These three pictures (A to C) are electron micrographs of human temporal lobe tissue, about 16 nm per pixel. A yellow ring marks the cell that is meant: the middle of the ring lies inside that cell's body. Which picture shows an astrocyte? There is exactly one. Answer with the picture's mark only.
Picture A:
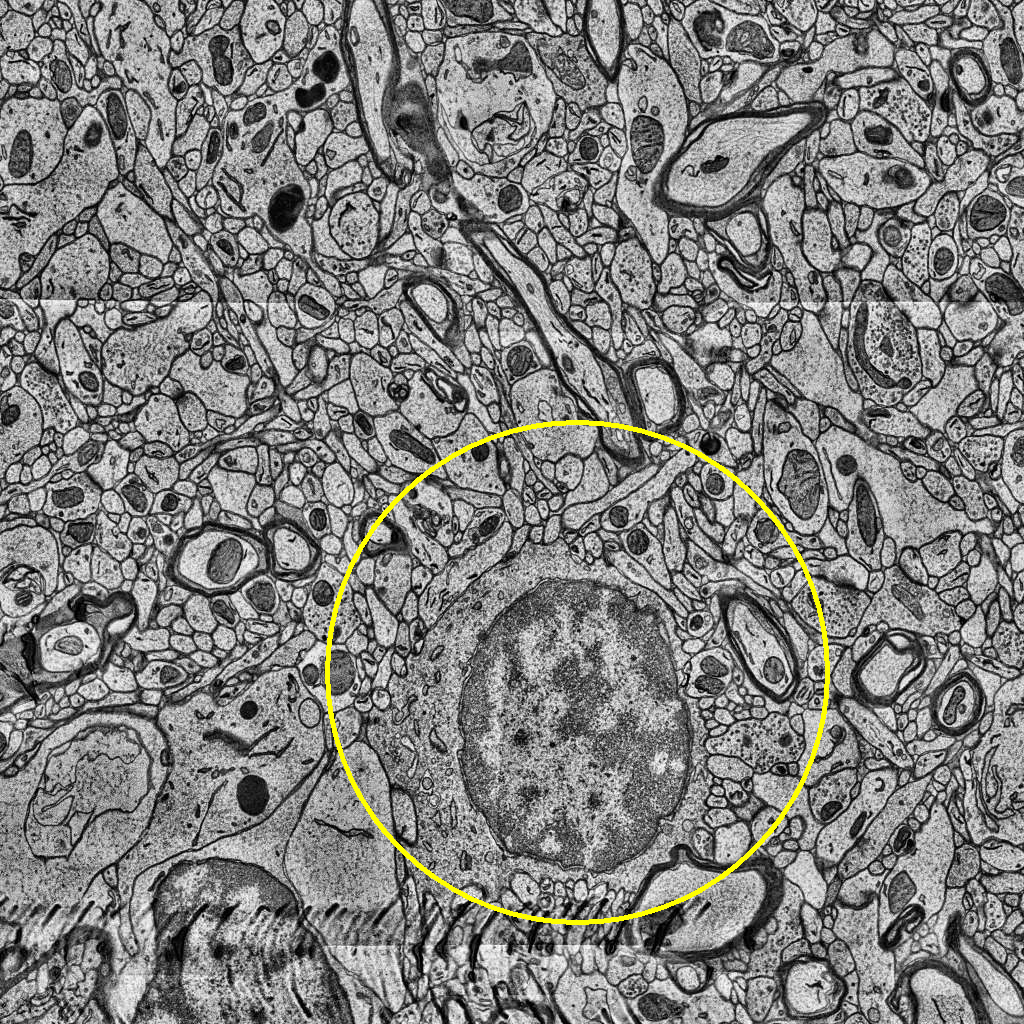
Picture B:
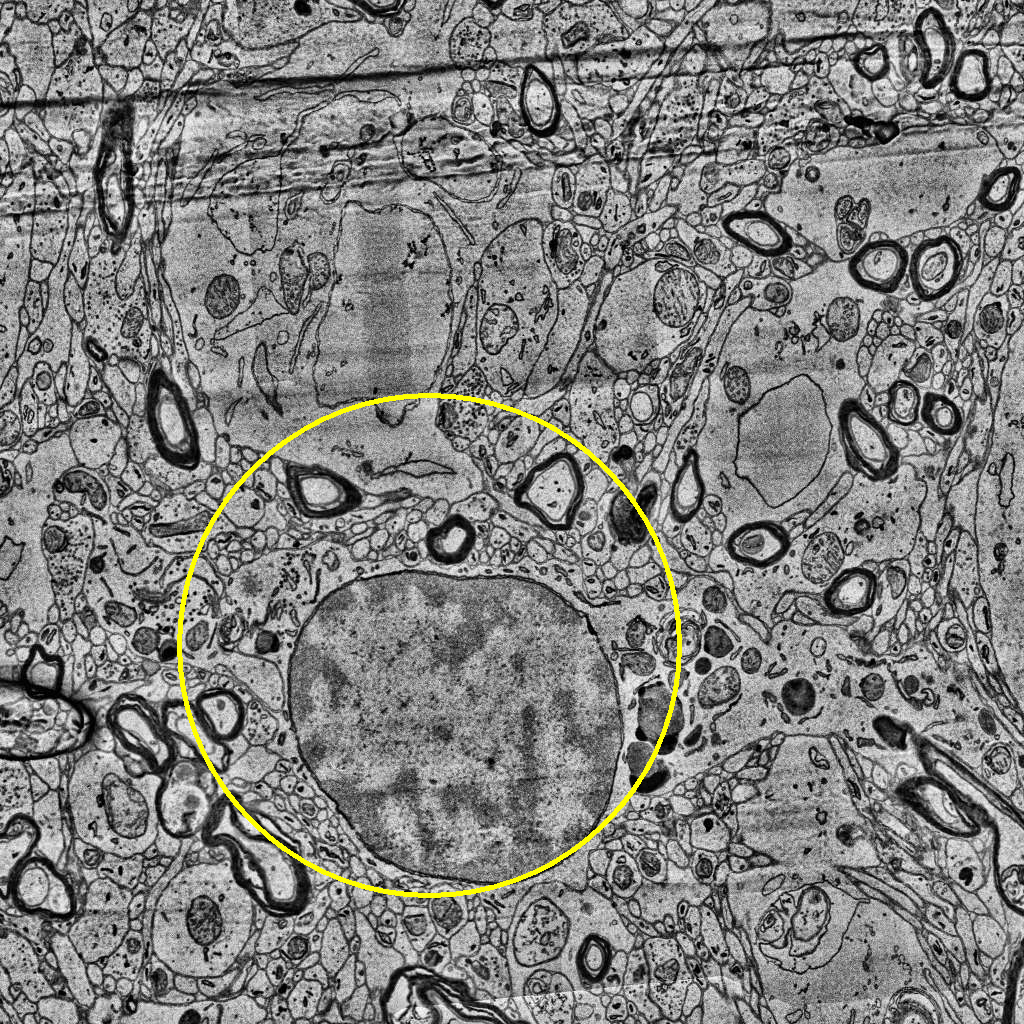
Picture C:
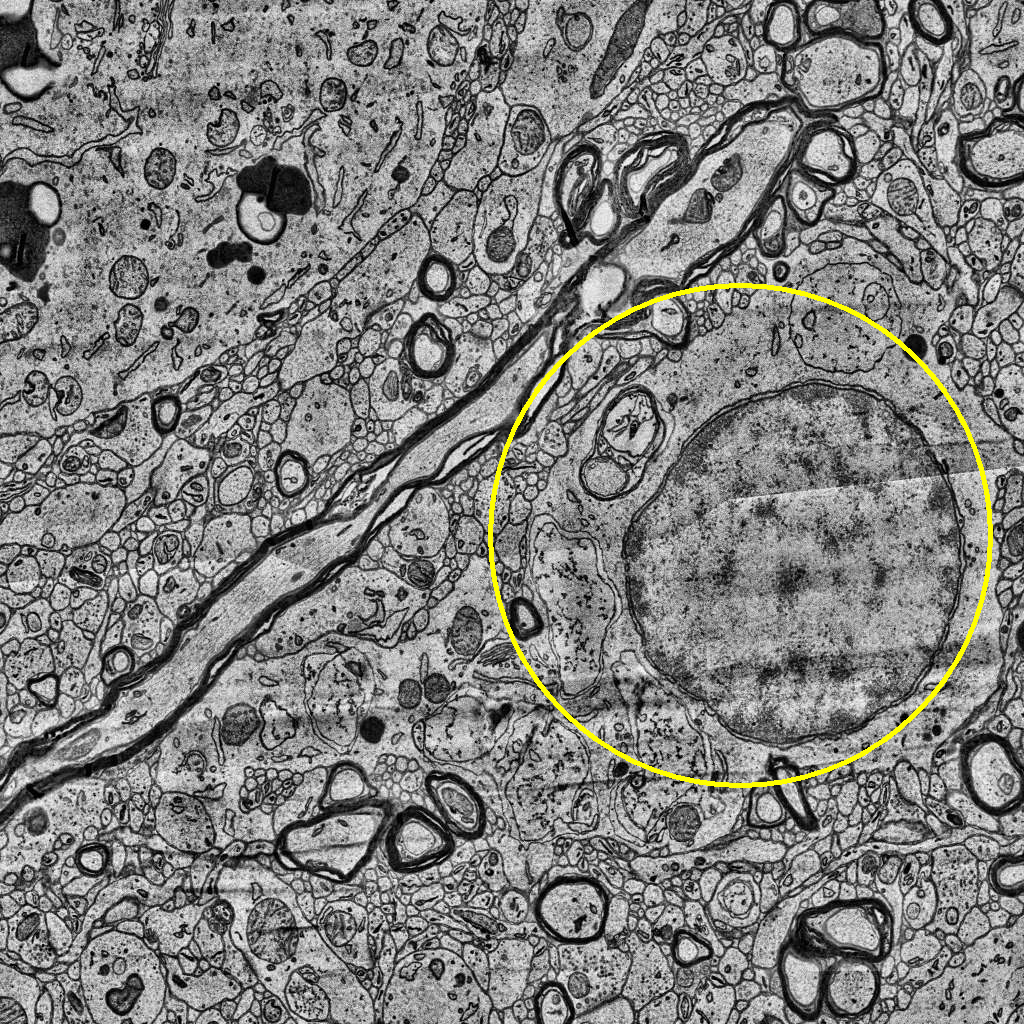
C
